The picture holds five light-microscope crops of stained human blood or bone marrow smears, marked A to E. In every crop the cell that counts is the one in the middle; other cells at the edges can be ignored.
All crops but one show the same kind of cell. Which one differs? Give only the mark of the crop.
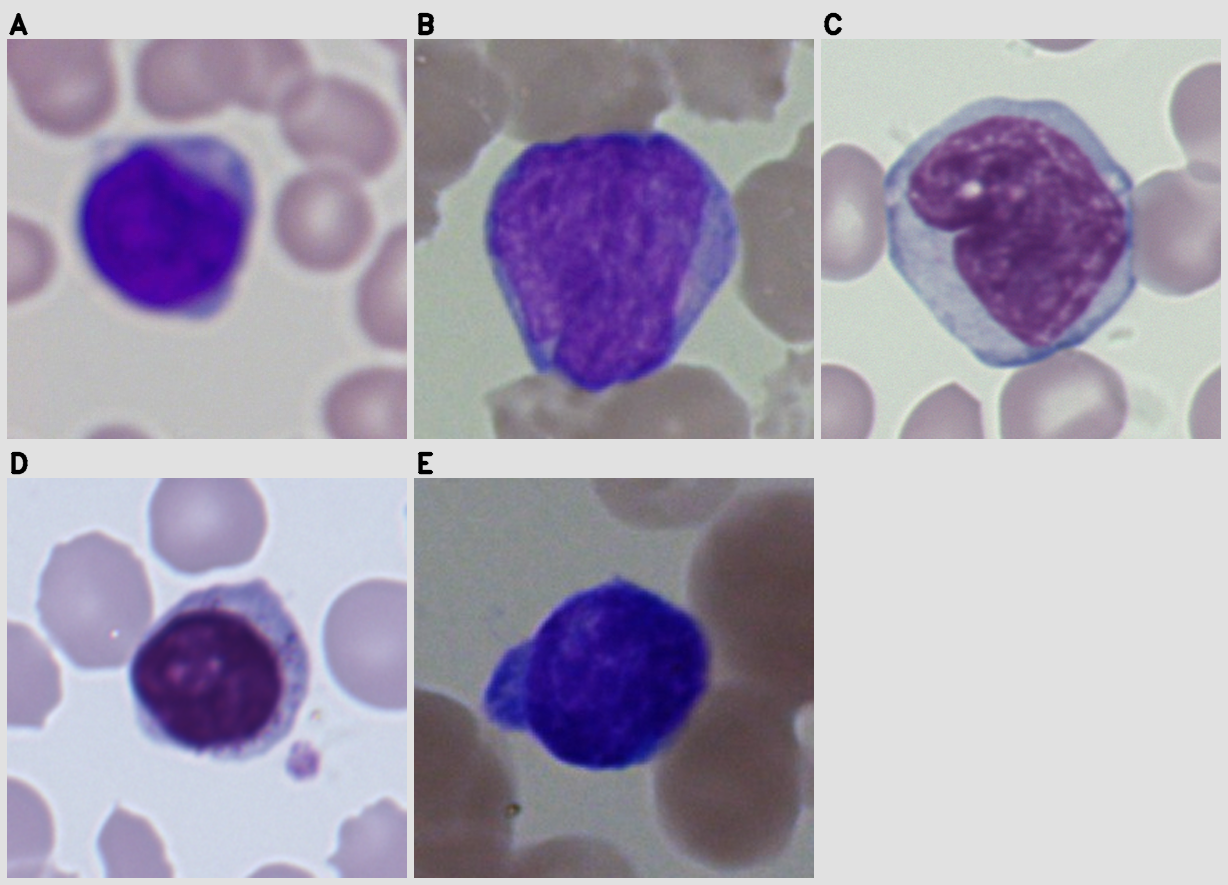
D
